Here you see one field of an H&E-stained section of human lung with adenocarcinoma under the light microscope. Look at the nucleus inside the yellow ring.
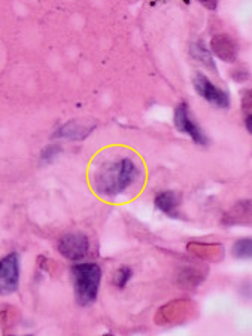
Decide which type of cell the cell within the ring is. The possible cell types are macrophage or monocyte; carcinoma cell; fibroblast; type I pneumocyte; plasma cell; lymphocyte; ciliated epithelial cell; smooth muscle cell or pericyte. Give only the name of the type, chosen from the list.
fibroblast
